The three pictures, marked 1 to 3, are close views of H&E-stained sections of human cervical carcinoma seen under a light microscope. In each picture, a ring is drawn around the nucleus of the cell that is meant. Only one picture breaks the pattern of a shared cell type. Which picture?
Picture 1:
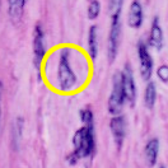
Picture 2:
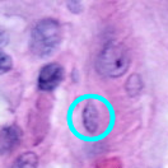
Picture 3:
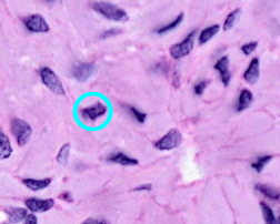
2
